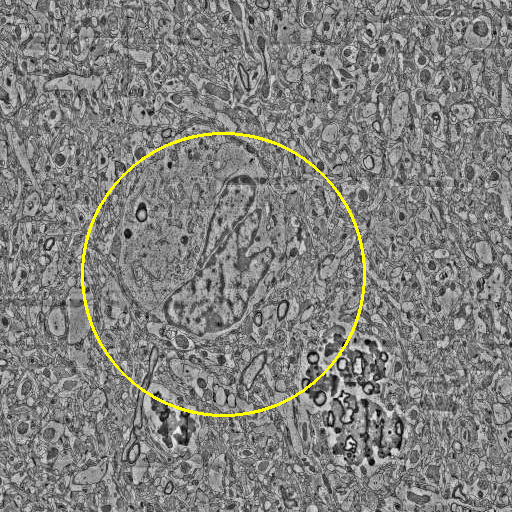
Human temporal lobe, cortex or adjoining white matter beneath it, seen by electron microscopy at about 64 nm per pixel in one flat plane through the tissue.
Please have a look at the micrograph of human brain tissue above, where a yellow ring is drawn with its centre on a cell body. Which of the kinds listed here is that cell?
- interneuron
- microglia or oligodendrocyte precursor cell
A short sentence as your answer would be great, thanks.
At the centre of the ring sits a microglial cell or oligodendrocyte precursor cell.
